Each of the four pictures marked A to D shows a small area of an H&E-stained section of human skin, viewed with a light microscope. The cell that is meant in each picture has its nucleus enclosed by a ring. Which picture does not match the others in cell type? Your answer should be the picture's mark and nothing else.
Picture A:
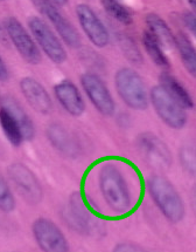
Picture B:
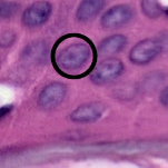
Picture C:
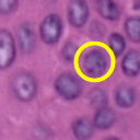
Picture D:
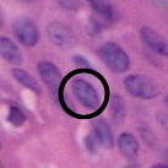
D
